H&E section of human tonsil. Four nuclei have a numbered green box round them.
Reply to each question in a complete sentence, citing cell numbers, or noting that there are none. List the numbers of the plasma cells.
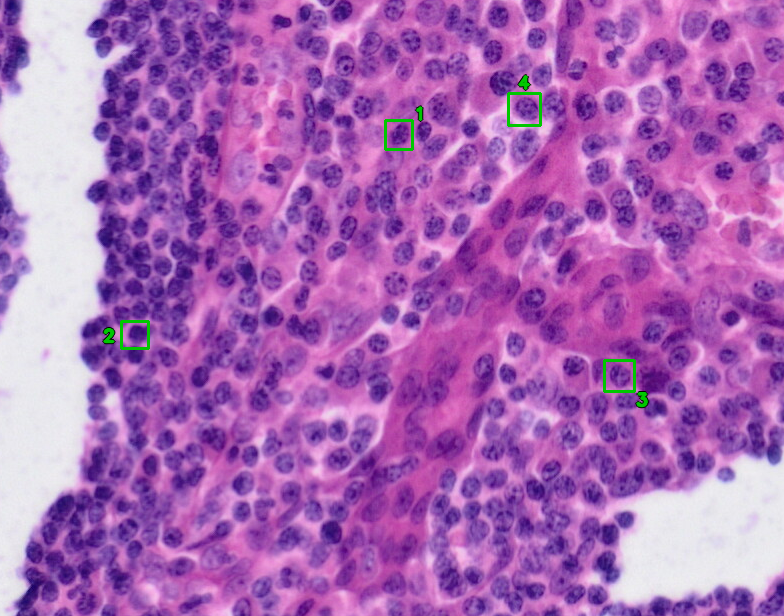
Into the category of plasma cells fall the cells numbered 1, 3 and 4.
